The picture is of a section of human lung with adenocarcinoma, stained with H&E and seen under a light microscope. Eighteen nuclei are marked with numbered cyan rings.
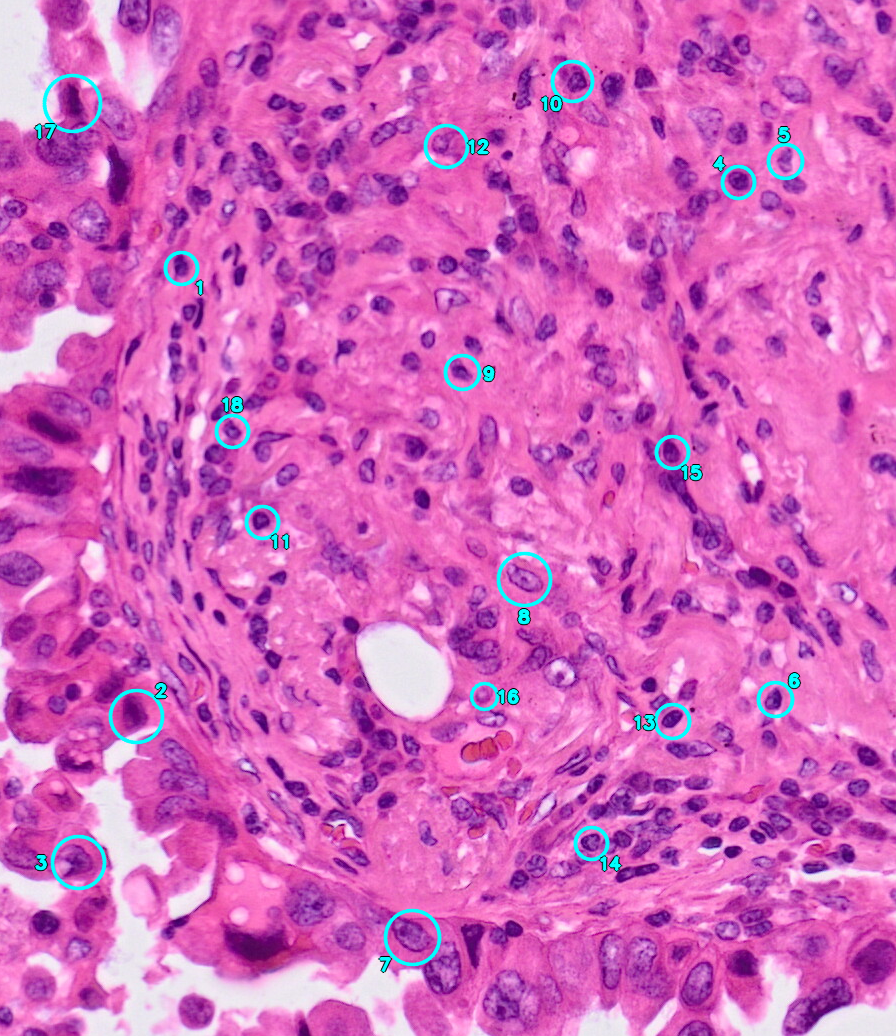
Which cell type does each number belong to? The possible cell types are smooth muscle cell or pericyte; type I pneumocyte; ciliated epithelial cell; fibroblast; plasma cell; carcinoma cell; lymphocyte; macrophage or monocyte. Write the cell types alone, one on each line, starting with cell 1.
lymphocyte
carcinoma cell
carcinoma cell
plasma cell
lymphocyte
lymphocyte
carcinoma cell
macrophage or monocyte
lymphocyte
plasma cell
plasma cell
macrophage or monocyte
lymphocyte
lymphocyte
plasma cell
macrophage or monocyte
carcinoma cell
lymphocyte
